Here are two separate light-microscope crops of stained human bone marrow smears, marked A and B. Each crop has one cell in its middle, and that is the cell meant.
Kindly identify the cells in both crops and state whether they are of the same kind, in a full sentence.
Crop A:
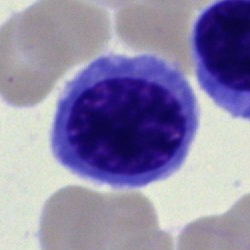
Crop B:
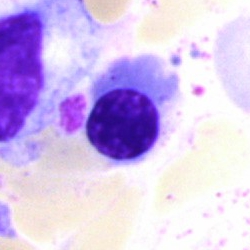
Yes, it is erythroblasts that occupy the middle of both crops.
